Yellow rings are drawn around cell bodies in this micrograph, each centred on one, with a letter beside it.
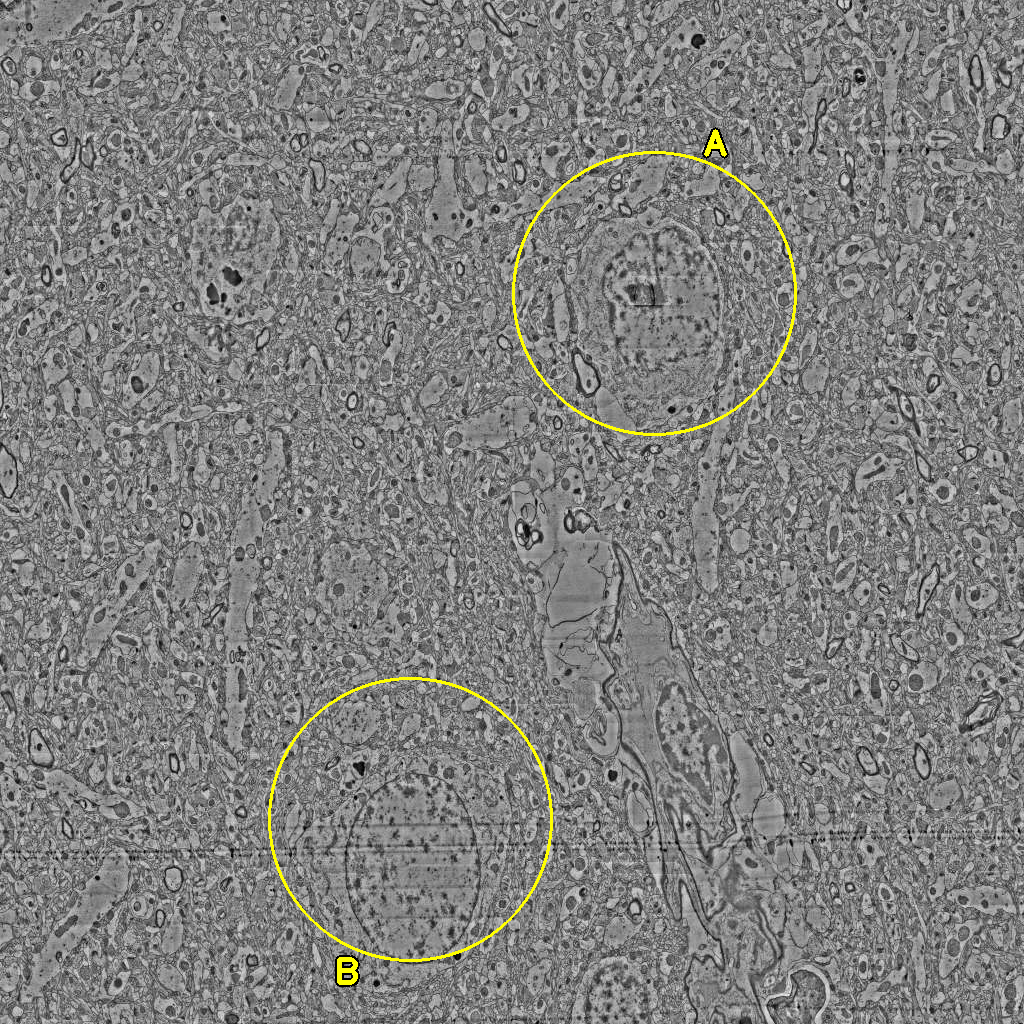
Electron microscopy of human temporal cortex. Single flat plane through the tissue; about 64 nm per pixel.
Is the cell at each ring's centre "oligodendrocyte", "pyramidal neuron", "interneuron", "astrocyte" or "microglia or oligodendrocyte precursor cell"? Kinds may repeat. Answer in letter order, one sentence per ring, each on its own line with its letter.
In ring A, the cell at the centre is an interneuron.
In ring B, the cell at the centre is a pyramidal neuron.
